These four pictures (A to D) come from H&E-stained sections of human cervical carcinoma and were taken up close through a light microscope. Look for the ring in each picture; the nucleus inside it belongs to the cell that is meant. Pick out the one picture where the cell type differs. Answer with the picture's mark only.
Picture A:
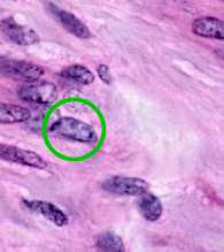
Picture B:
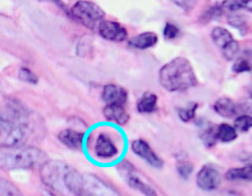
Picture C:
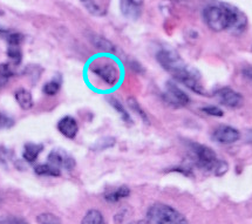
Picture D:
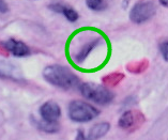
B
